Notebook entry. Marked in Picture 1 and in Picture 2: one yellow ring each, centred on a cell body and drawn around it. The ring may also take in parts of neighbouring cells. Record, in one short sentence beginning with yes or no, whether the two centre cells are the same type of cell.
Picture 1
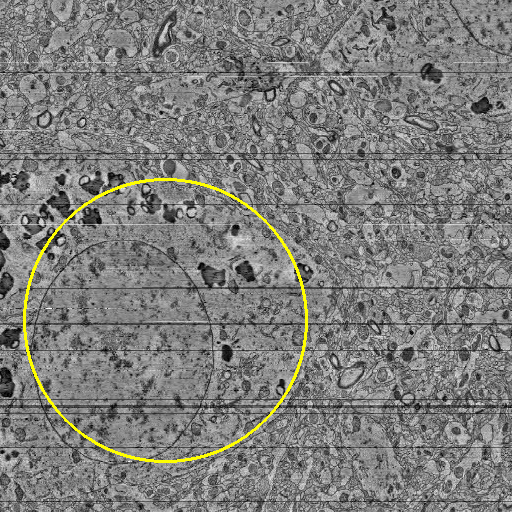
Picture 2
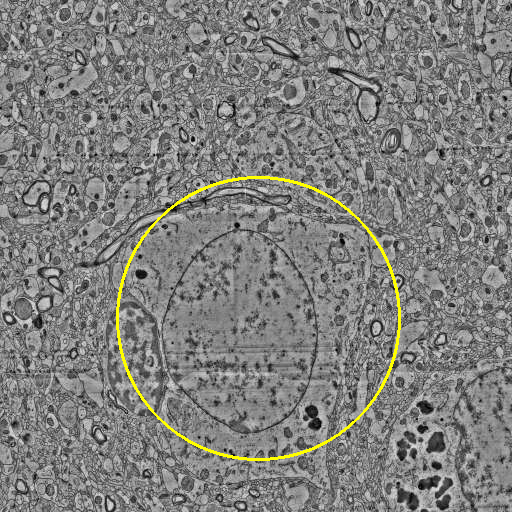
Yes, both are the same type of cell.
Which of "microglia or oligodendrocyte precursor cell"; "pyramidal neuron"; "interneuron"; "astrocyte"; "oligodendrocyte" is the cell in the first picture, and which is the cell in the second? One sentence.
In the first picture and in the second, the ring is centred on a pyramidal neuron.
